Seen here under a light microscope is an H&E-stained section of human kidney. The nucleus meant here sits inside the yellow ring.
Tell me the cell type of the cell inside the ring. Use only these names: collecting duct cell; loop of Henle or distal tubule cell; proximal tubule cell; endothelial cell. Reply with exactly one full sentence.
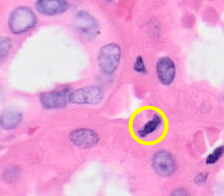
In this tissue sample, the cell inside the ring is an endothelial cell.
